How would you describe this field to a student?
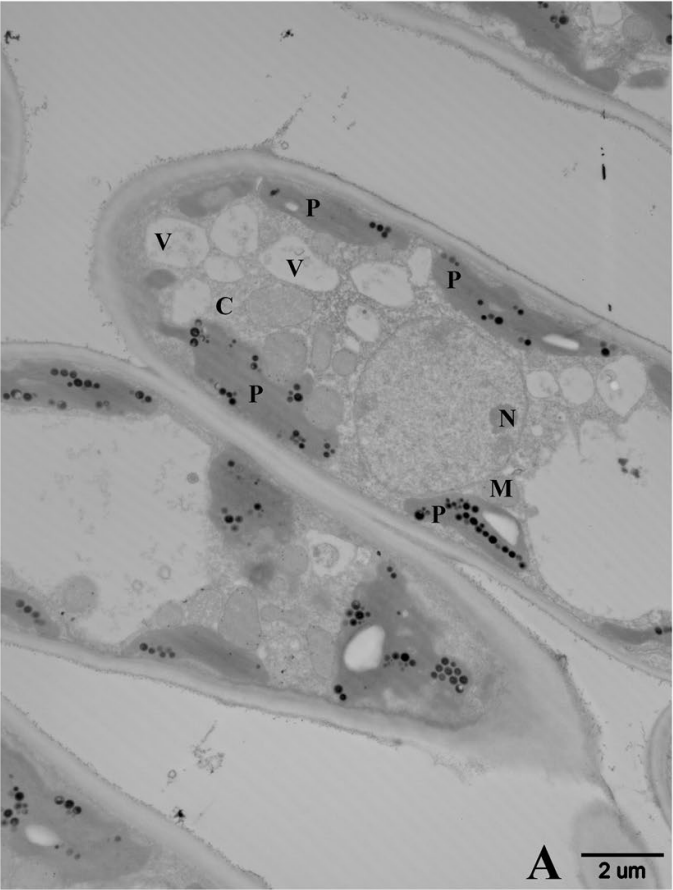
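These are plant cells with thick pale walls, and the upper cell holds a denser cytoplasm packed with many small rounded pale vacuoles. A large round nucleus with finely granular contents and a darker small body lies in the middle of this cytoplasm. Elongated dark grey plastids line the walls, some with a pale oval inclusion. Many round, dense black granules, often in rows or clusters, sit in and along the plastids, and similar clusters are seen in the plastids of neighbouring cells.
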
